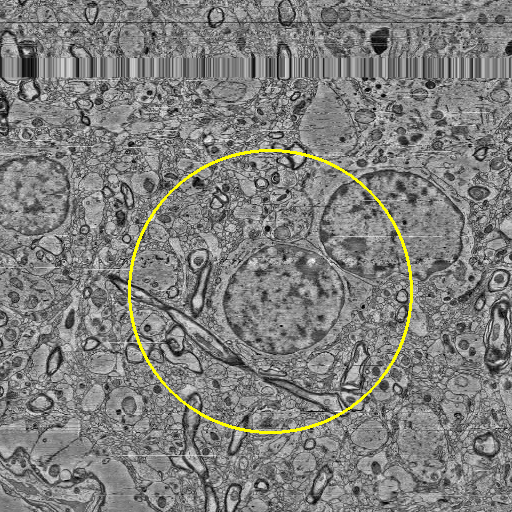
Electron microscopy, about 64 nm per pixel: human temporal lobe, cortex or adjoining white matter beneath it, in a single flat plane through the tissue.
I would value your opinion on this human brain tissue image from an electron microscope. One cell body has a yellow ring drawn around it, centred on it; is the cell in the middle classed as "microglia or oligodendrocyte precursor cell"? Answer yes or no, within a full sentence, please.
Yes, I would class the cell in the middle of the ring as that kind.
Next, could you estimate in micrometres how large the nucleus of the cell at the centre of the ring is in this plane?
In this plane, the nucleus of the cell at the centre of the ring is about 7 micrometres across.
